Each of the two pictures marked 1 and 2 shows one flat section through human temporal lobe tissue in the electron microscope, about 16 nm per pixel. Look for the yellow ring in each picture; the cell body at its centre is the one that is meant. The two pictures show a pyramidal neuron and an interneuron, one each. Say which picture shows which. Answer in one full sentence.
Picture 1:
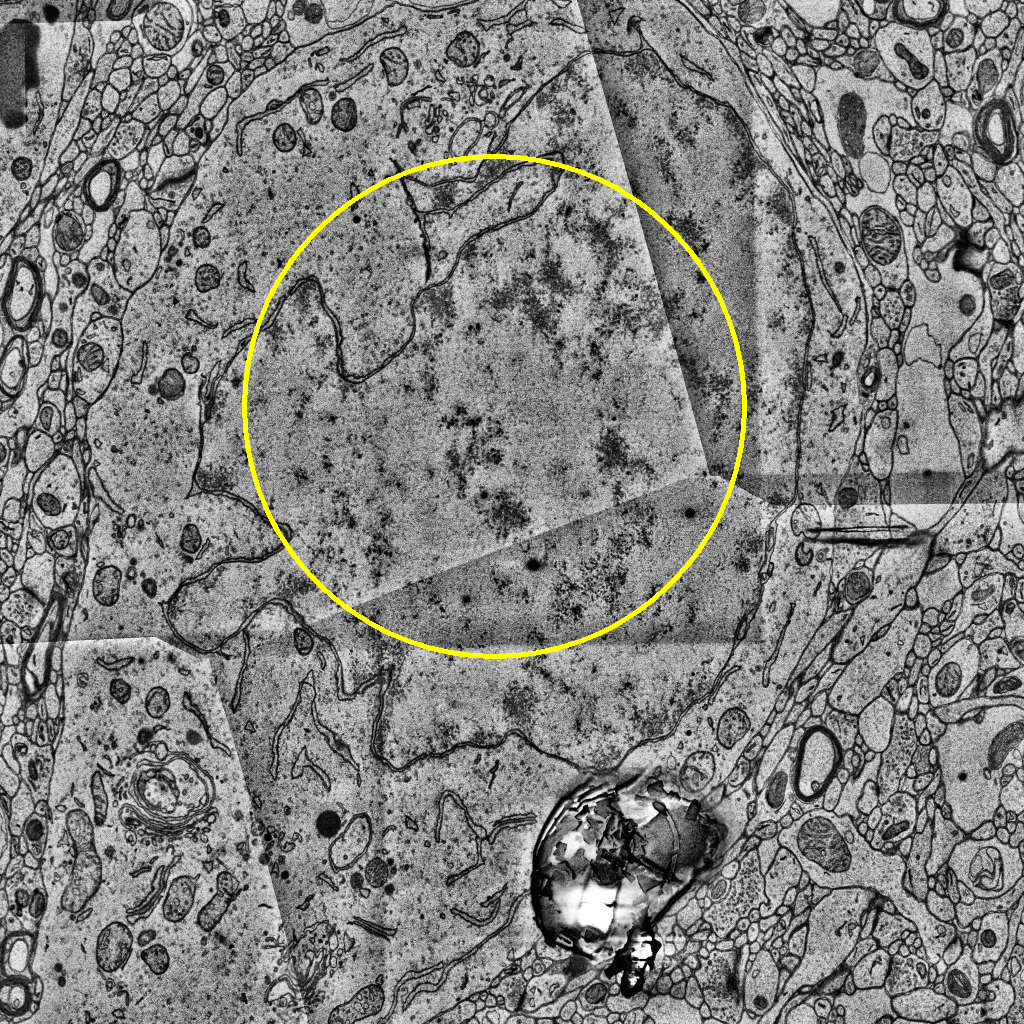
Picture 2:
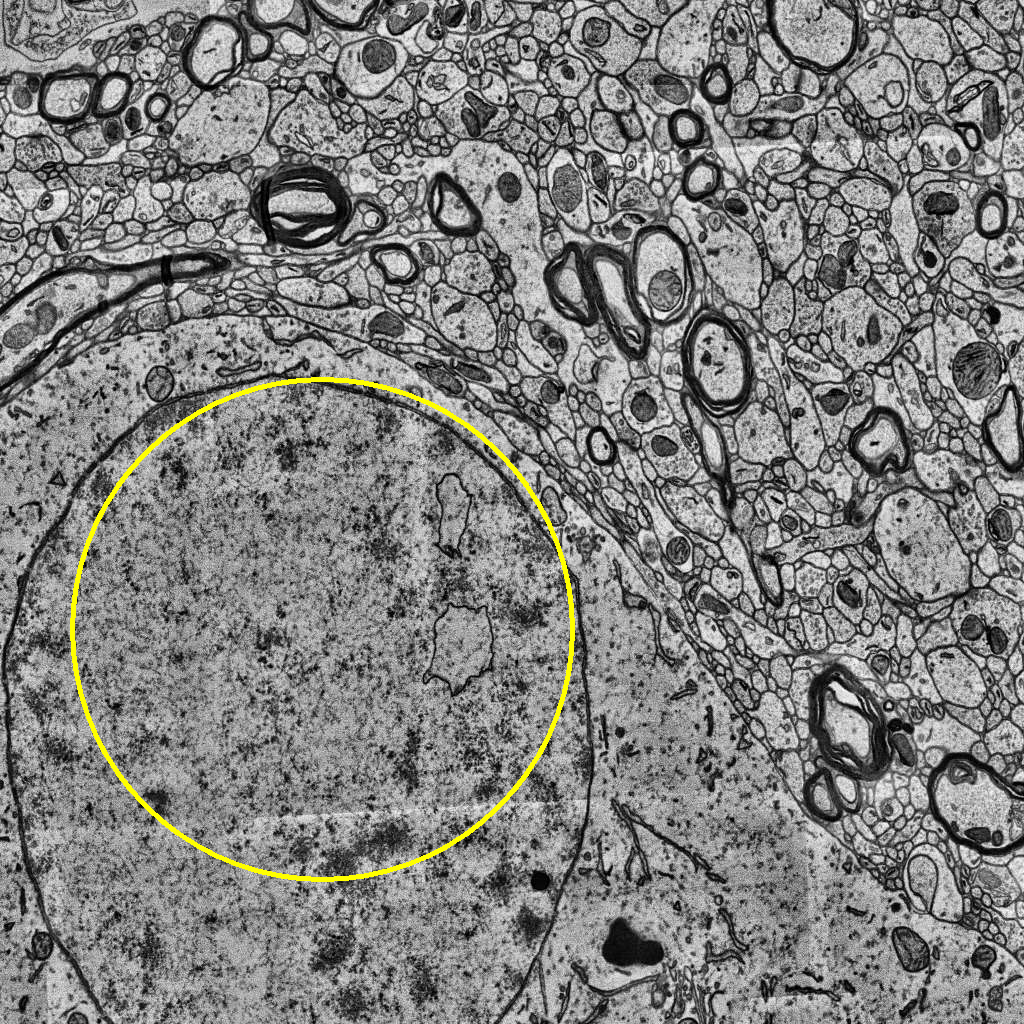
Picture 2 shows a pyramidal neuron, while picture 1 shows an interneuron.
